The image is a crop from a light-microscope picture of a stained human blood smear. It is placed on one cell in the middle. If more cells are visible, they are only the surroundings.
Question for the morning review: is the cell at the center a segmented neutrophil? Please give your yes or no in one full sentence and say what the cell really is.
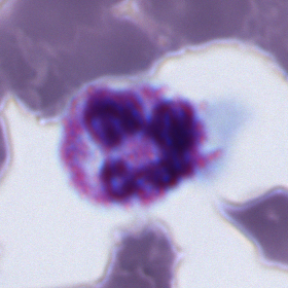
Yes, the cell lying in the centre of the crop is identified as a segmented neutrophil.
